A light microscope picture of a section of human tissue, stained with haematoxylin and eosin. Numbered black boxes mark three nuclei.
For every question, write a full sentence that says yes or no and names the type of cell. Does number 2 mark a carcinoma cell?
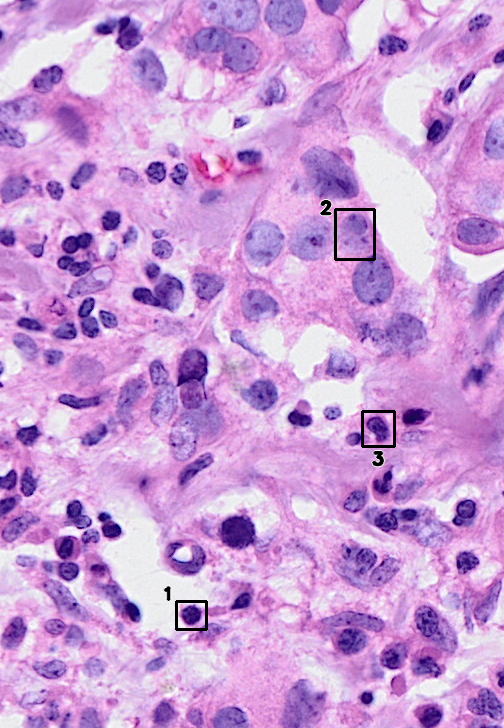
Yes, the cell carrying label 2 is a carcinoma cell.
